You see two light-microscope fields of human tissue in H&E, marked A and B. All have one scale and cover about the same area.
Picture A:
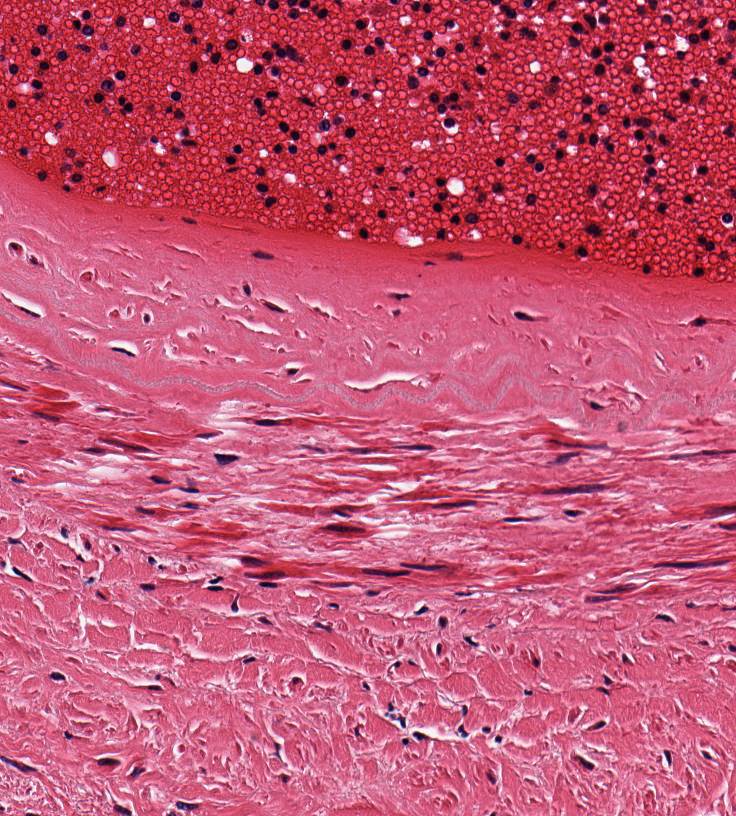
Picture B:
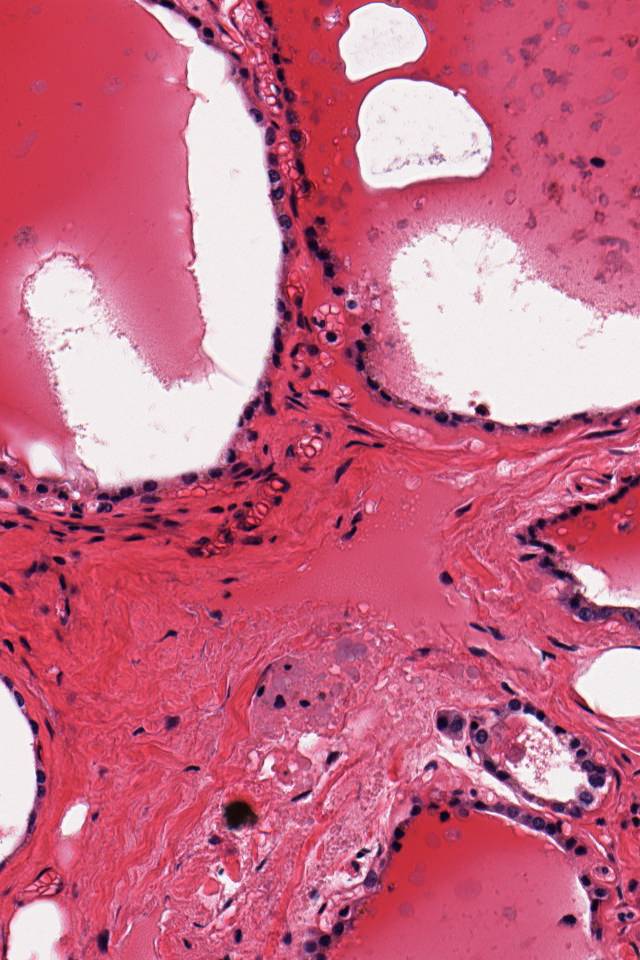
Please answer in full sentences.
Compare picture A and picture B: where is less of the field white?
It is picture A that stained tissue fills more completely.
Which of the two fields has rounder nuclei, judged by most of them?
Rounder nuclei lie in picture A.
